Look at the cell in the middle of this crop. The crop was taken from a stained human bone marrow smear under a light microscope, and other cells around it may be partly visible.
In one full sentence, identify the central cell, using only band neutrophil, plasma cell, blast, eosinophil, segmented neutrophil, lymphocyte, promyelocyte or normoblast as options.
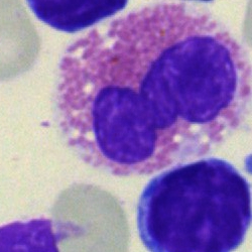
Centrally within this crop lies an eosinophil.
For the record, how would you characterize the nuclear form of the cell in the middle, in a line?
If you check the nucleus, you will find it split into two or more lobes.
